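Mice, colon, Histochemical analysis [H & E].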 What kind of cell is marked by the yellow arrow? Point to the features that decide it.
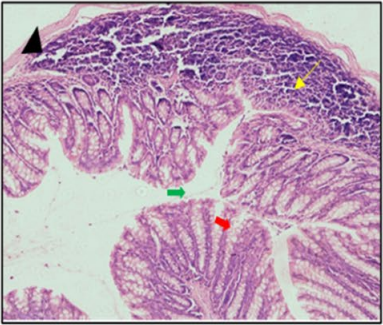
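Inflammatory cells. The yellow arrow points into a dense band of small, dark purple nuclei packed together. The crowded dark nuclei contrast with the paler, orderly crypts nearby.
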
